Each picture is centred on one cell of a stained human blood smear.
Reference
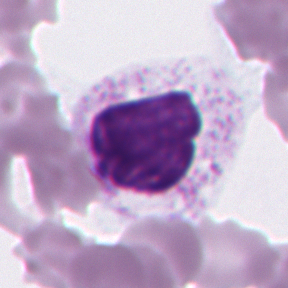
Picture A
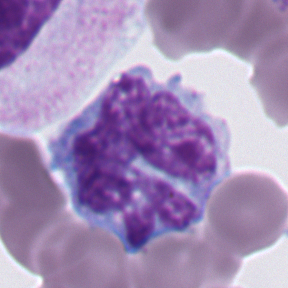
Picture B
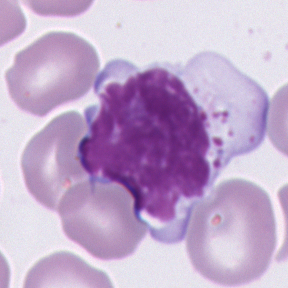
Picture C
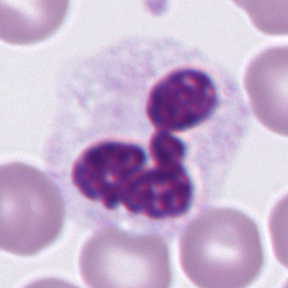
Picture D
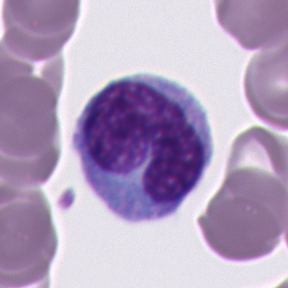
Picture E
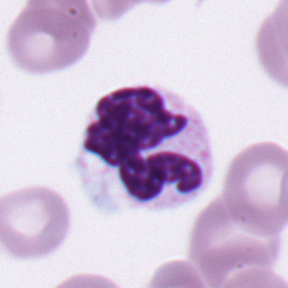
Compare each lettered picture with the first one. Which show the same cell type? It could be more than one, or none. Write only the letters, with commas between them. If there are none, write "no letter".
C, E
